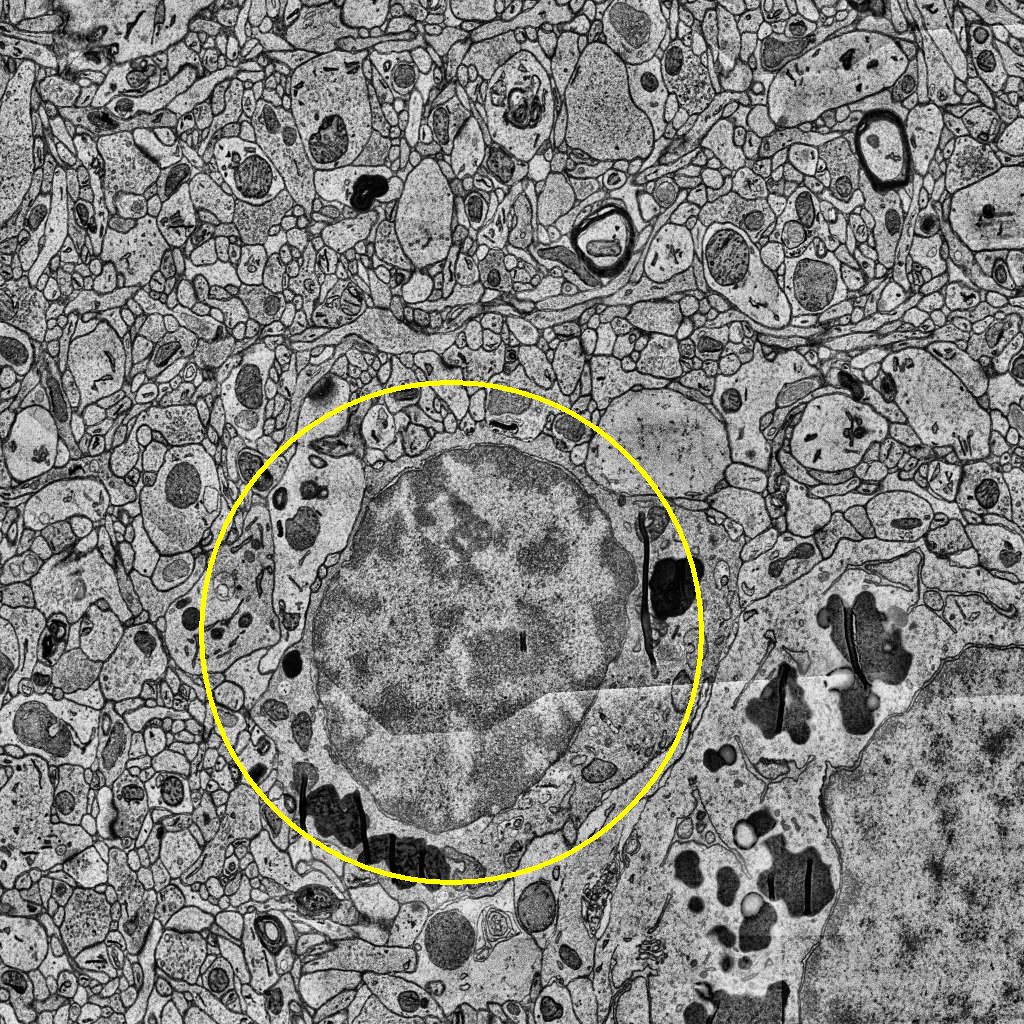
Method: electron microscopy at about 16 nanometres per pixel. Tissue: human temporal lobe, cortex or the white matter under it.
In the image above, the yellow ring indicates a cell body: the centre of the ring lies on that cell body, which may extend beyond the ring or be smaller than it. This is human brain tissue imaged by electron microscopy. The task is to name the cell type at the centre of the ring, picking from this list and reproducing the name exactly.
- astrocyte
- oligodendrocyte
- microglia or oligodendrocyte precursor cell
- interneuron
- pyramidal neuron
oligodendrocyte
